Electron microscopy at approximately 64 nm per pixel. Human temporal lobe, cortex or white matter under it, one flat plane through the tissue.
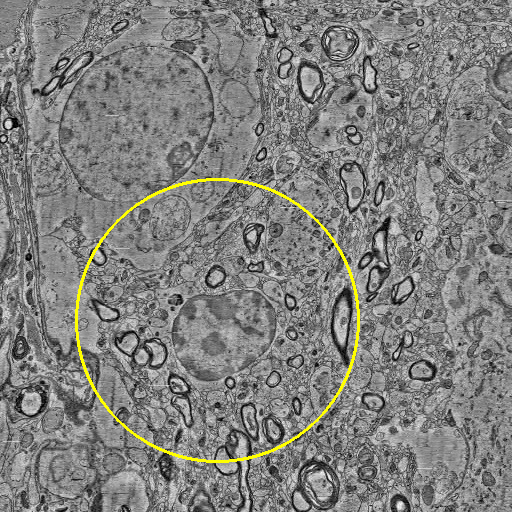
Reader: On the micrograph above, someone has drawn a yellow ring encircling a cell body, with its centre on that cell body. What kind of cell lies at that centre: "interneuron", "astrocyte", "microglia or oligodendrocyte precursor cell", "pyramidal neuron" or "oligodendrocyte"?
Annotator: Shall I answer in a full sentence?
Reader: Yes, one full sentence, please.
Here a microglial cell or oligodendrocyte precursor cell sits at the centre of the yellow ring drawn on the micrograph.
